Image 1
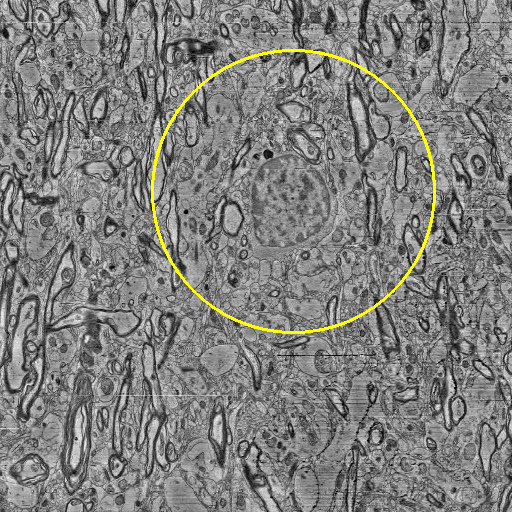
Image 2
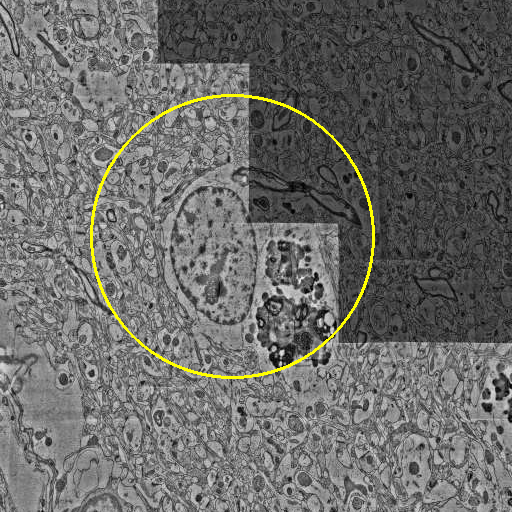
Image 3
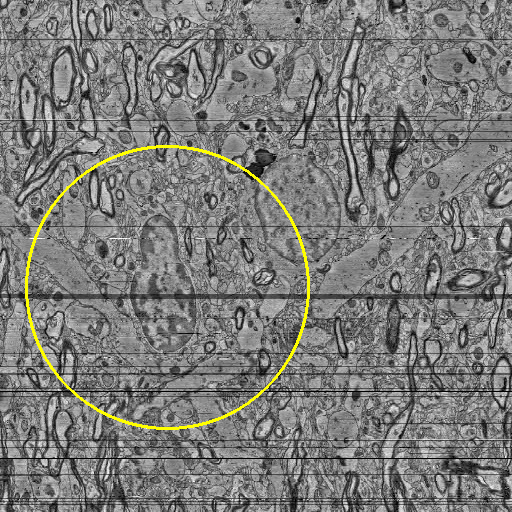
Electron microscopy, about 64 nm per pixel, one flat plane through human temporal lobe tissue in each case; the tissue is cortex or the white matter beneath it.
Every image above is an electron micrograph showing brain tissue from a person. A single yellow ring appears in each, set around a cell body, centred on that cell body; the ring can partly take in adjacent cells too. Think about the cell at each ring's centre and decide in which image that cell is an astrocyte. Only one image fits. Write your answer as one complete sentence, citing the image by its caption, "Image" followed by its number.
Image 2 is the one whose ringed central cell fits the description.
